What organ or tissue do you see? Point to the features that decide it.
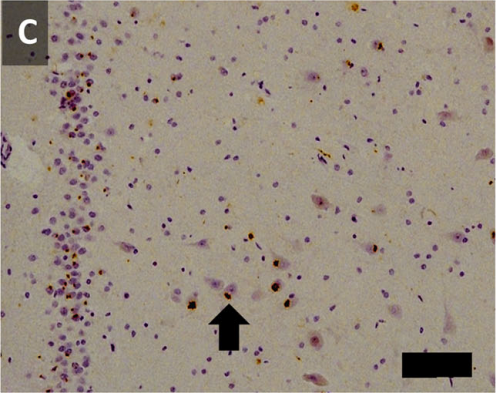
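Hippocampus dentate gyrus. A dense band of small closely packed nuclei runs along the left side. Beside it lies a looser area with scattered larger cell bodies.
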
